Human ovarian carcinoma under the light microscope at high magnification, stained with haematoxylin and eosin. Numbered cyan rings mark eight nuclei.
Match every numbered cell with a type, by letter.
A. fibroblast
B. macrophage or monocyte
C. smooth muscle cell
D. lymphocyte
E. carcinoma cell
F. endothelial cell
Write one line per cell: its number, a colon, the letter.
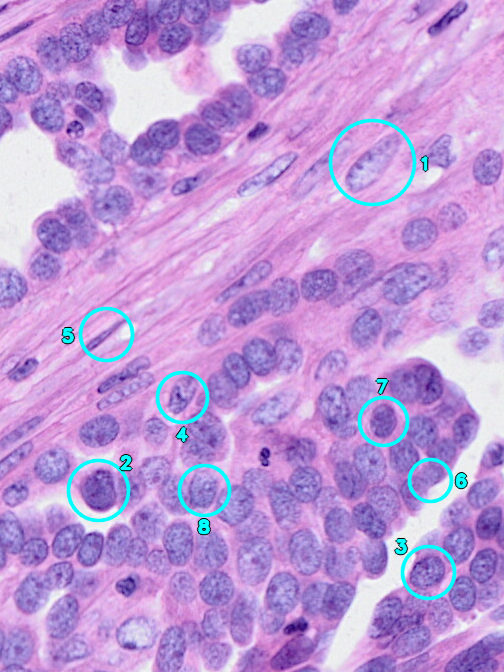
1: A
2: E
3: E
4: B
5: A
6: E
7: E
8: E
